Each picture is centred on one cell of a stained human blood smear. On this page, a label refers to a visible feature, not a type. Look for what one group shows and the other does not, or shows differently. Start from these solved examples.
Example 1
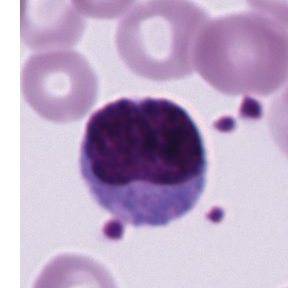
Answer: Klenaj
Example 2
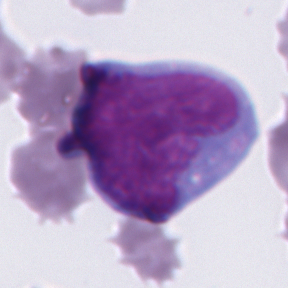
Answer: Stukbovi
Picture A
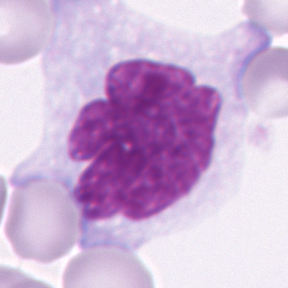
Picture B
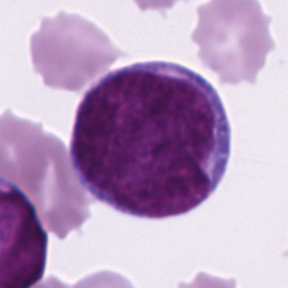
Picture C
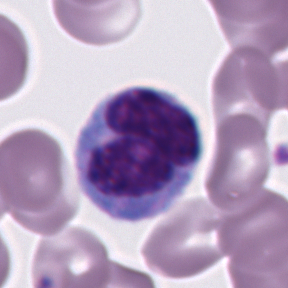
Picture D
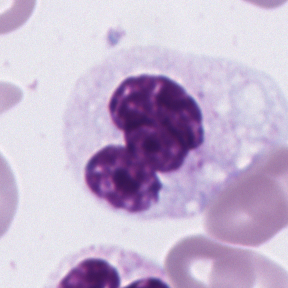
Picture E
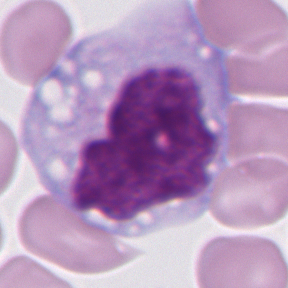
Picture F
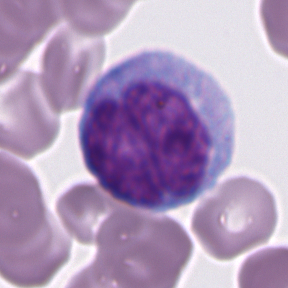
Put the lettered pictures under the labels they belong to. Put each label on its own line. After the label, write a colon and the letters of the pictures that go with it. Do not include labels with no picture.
Klenaj: A, B, C, F
Stukbovi: D, E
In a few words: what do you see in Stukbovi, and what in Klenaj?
In Stukbovi: vacuoles present. In Klenaj: no vacuoles.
